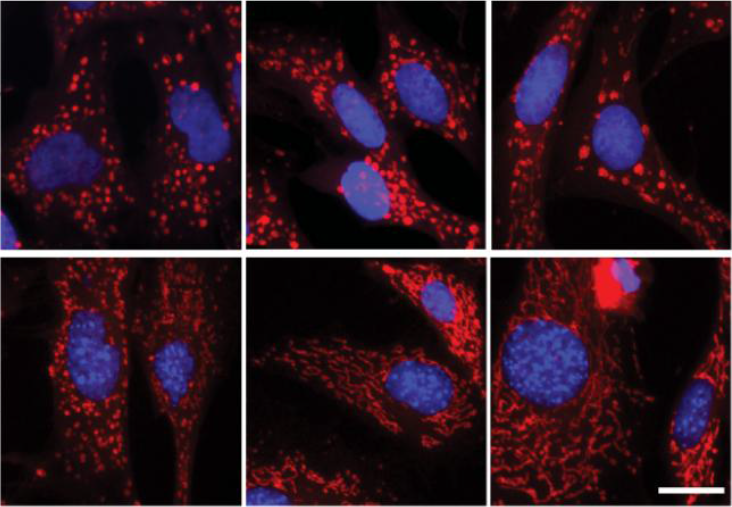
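In the upper row the mitochondria are mostly discrete rounded dots of varying size, scattered around the nucleus and out into the cell body. The cells are flattened and spindle-shaped to polygonal, with the red signal densest around the nucleus.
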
